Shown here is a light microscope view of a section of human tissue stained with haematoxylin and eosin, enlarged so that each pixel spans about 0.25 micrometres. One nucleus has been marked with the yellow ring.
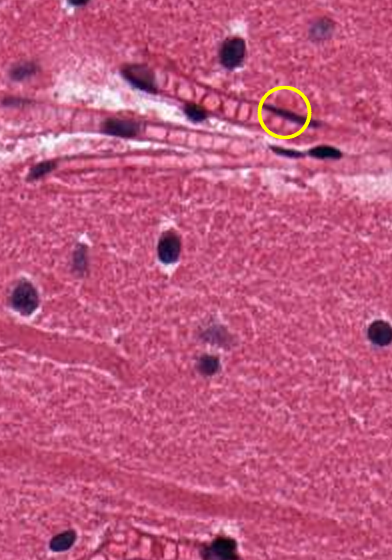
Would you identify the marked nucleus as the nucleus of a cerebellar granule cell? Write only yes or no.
no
